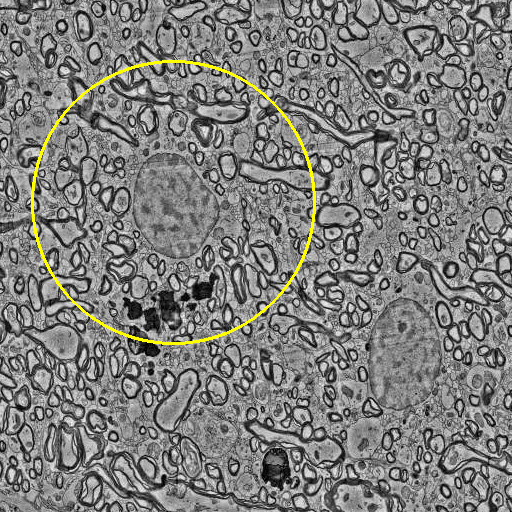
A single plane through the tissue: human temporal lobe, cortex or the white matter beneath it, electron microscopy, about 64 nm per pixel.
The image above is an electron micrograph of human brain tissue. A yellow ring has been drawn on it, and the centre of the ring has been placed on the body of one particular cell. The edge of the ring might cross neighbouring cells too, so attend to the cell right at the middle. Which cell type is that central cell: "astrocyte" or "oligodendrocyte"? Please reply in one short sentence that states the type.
The central cell in the ring is an oligodendrocyte.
